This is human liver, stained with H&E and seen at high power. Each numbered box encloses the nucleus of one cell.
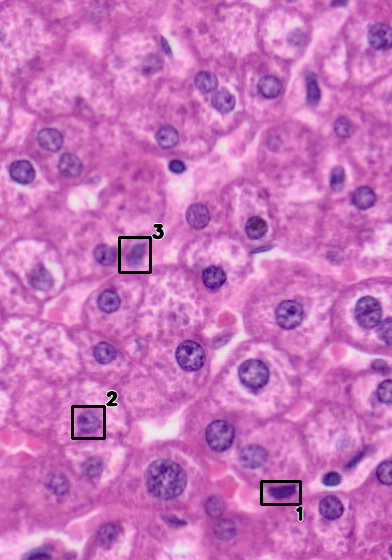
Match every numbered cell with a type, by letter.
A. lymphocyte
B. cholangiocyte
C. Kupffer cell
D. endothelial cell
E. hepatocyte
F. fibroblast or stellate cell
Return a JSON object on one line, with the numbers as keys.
{"1": "F", "2": "E", "3": "D"}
